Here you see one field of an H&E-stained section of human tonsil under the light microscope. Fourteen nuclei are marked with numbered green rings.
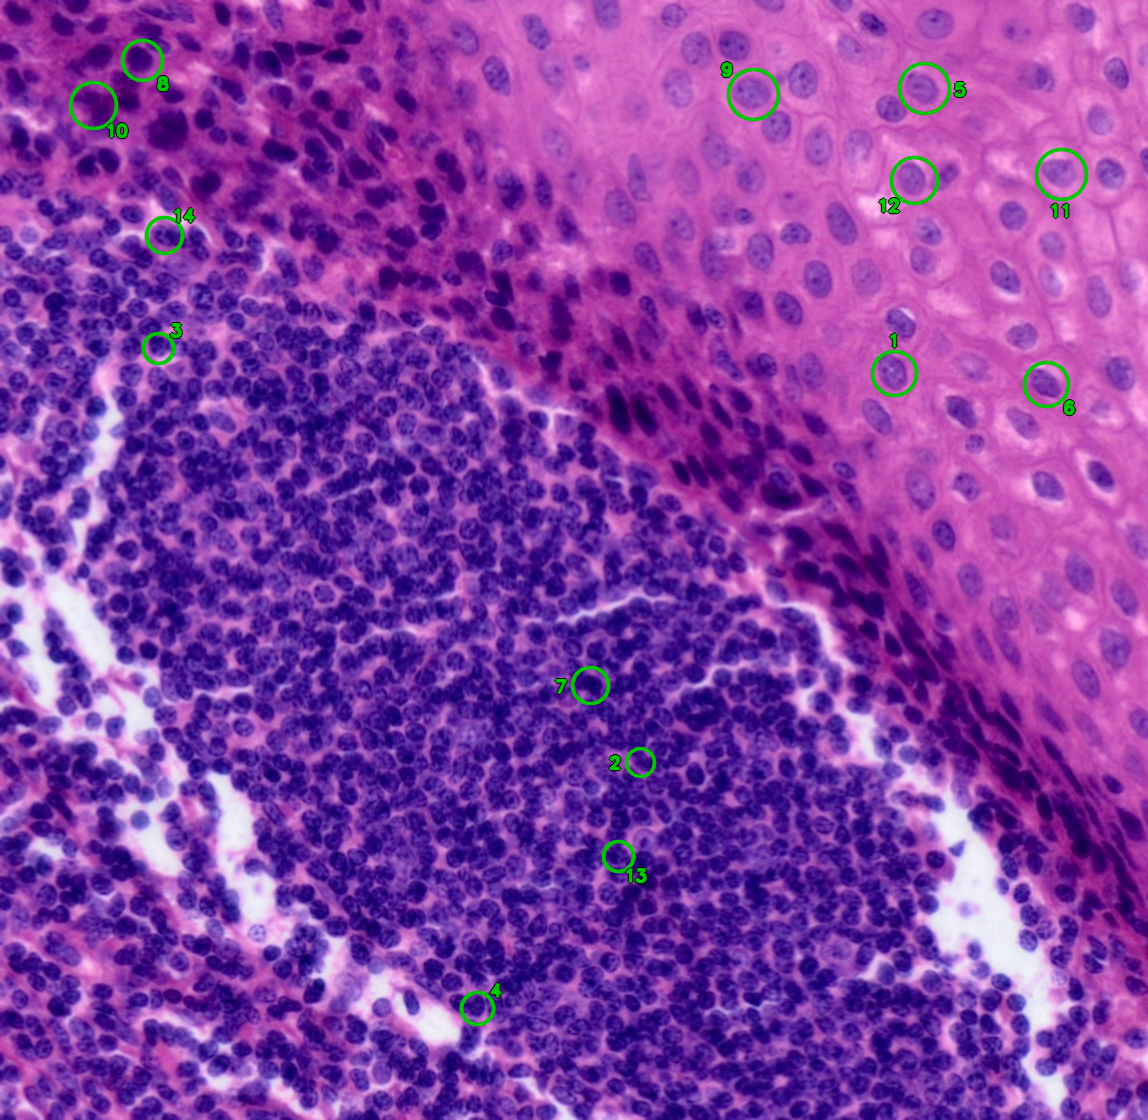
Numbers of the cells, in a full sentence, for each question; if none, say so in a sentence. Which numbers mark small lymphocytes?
The cells bearing the numbers 2, 3, 4, 7 and 13 are small lymphocytes.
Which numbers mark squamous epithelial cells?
The cells that have been numbered 1, 5, 6, 8, 9, 10, 11 and 12 are squamous epithelial cells.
